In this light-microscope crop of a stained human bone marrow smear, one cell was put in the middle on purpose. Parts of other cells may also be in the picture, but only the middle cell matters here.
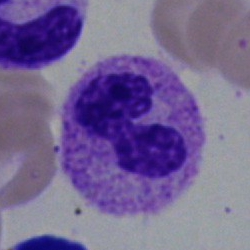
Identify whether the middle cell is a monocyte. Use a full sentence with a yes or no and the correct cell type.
No, that would be a neutrophil, not a monocyte, for the cell at the centre.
